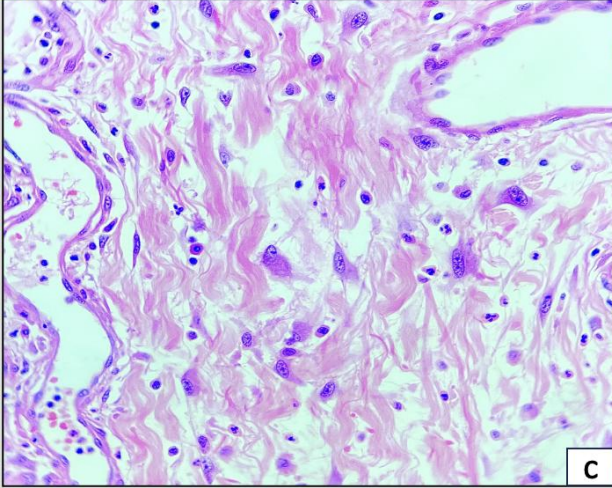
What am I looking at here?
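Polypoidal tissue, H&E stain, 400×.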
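Loose fibro-collagenous stroma with sparse, discrete plump stromal cells between wavy pink collagen bundles. The collagen fibres are separated by pale, clear spaces, giving a mildly swollen, loose appearance. Thin-walled vessels with flat lining cells border the field on the left and upper right, and a few red blood cells and small round inflammatory cells are seen within or near them. Cellularity is low overall.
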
